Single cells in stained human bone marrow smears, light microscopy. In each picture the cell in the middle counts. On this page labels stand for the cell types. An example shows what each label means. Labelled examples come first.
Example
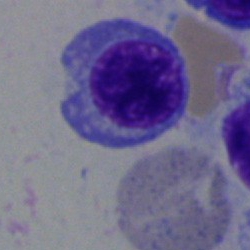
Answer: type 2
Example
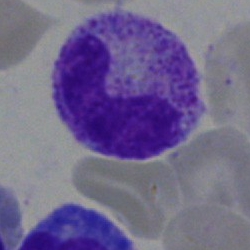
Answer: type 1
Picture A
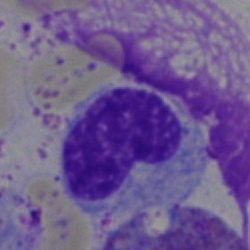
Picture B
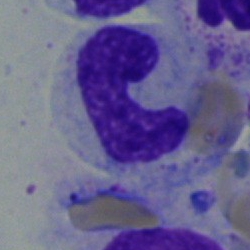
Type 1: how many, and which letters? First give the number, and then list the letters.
2, namely A, B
